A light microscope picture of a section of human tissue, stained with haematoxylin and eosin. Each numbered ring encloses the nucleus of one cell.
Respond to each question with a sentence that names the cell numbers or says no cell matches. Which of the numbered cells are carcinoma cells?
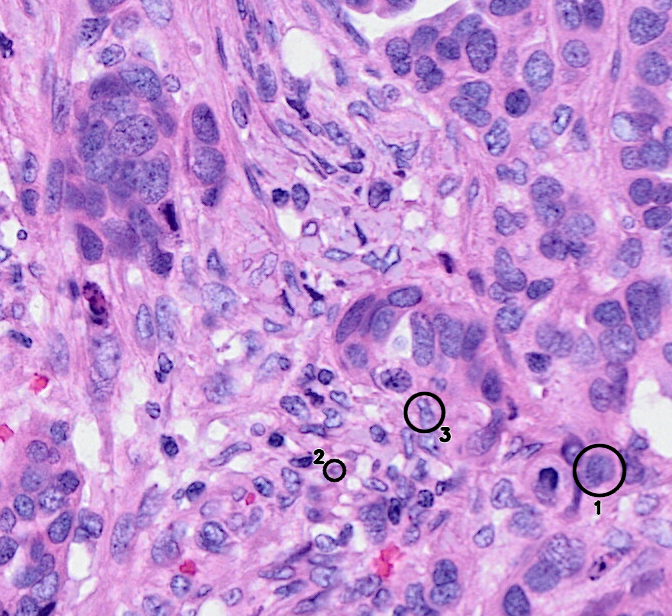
It is cell 1, and no other numbered cell, that is a carcinoma cell.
